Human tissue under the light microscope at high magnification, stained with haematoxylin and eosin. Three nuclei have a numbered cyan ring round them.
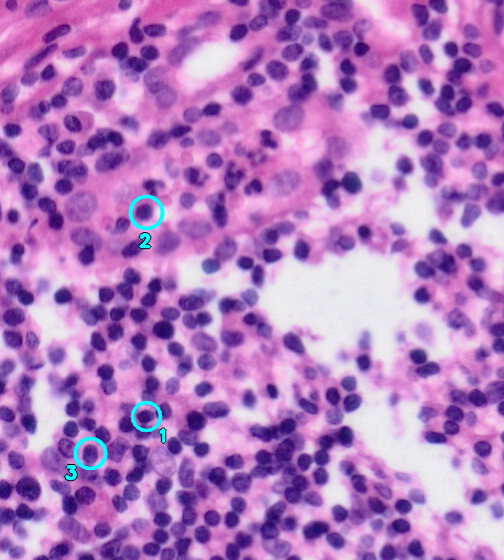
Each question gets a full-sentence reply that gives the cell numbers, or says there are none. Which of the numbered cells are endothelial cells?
Just one of the numbered cells is an endothelial cell, namely number 2.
